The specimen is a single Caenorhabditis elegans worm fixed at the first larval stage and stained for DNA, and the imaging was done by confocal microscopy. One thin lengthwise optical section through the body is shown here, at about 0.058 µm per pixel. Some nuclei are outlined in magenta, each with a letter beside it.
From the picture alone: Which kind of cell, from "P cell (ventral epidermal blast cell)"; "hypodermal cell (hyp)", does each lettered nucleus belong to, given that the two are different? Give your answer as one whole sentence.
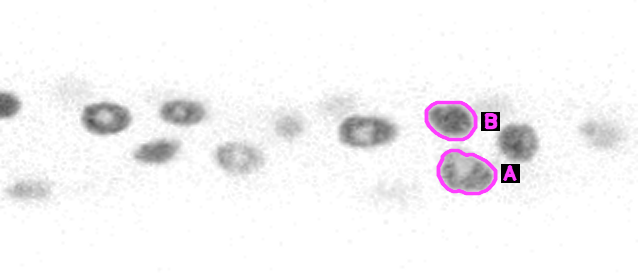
A is from a hypodermal cell (hyp), and B is from a P cell (ventral epidermal blast cell).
